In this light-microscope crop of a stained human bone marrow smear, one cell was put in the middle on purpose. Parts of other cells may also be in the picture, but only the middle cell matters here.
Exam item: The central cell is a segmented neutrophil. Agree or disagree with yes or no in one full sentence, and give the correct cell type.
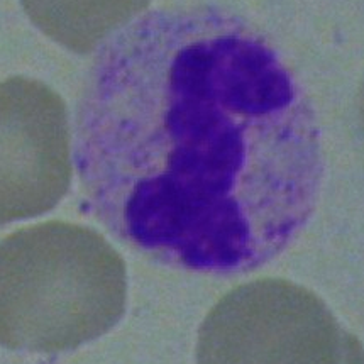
Yes, the cell located at the center is a segmented neutrophil.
